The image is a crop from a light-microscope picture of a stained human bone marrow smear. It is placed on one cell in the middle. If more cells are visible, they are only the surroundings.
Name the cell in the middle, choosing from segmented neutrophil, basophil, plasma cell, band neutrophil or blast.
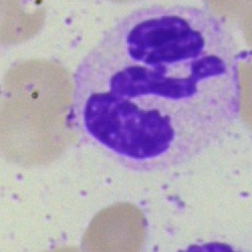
segmented neutrophil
